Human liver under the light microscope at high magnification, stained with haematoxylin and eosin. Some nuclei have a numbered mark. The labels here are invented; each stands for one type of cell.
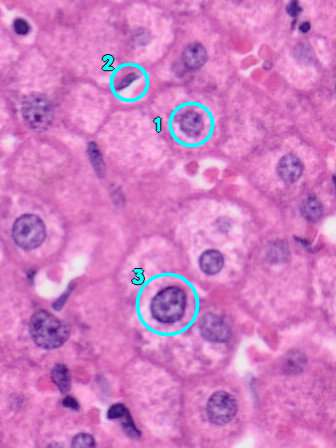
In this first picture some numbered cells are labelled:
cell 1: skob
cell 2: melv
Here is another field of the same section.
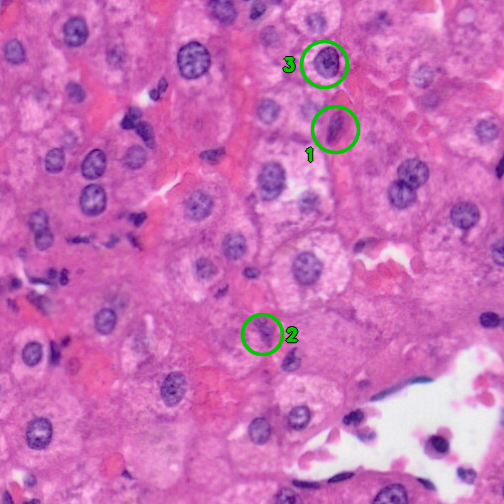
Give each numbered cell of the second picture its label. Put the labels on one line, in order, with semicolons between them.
melv; melv; skob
